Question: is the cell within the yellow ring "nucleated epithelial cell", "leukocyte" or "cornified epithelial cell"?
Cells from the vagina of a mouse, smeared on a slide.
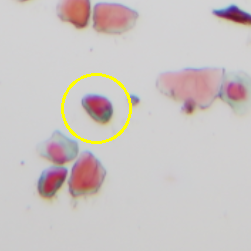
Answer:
nucleated epithelial cell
